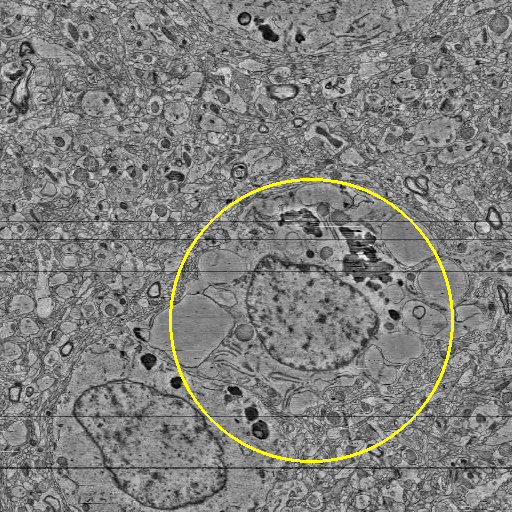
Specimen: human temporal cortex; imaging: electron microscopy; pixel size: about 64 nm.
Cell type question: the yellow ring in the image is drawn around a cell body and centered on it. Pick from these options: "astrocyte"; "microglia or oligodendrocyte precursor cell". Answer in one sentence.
The ringed cell at the center is an astrocyte.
